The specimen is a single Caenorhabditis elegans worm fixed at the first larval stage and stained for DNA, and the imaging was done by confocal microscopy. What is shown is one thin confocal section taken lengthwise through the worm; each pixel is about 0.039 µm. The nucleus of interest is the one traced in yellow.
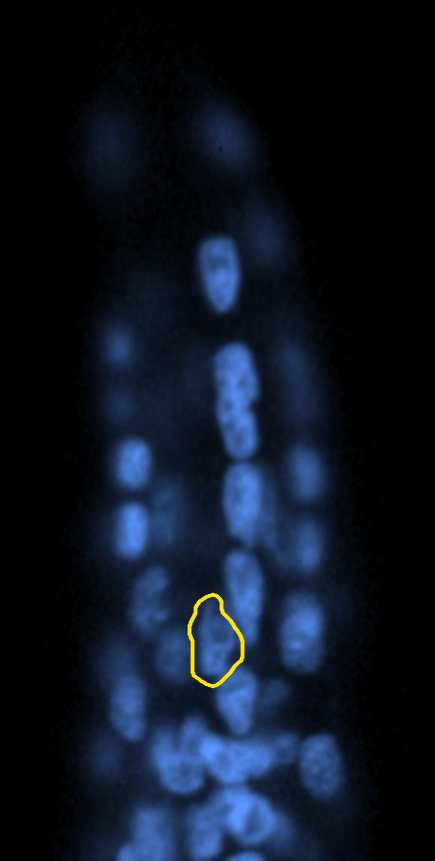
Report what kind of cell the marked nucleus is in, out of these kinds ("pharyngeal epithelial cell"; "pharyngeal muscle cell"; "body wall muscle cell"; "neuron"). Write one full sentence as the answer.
What is marked is the nucleus of a pharyngeal muscle cell.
